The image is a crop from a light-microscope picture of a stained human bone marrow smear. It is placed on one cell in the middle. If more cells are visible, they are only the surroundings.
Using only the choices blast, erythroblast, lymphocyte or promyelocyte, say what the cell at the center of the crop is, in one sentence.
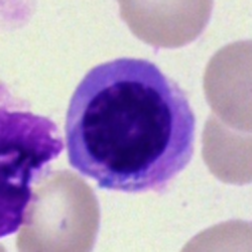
Here the centrally located cell is an erythroblast.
